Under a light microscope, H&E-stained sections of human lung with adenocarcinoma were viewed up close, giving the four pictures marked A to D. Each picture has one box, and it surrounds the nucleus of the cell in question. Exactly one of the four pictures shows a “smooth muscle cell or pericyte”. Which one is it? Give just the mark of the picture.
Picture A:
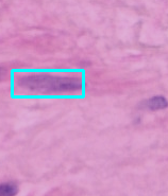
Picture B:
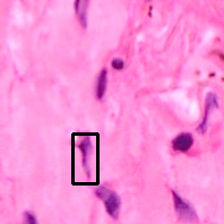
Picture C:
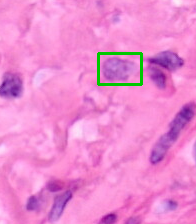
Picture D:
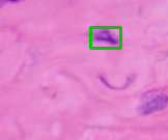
A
